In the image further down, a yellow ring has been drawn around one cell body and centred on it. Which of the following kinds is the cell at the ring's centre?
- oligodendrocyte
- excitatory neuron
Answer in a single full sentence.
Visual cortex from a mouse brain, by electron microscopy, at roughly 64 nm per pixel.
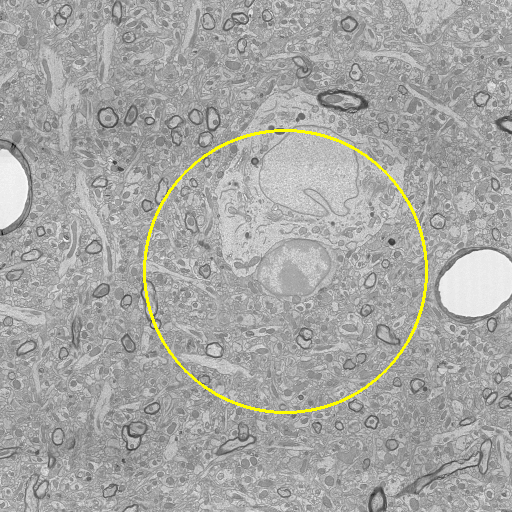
In the picture, the cell sitting at the centre of the yellow ring is an oligodendrocyte.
